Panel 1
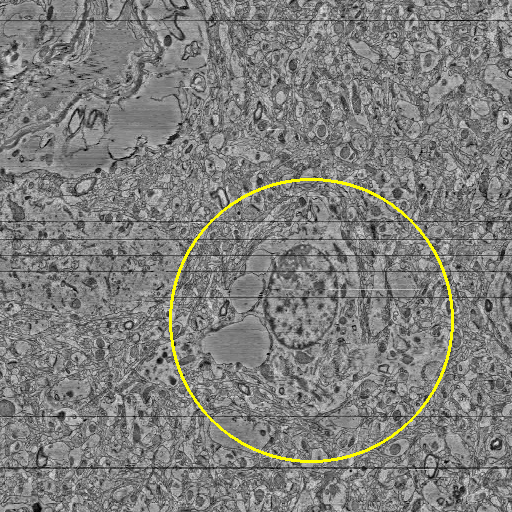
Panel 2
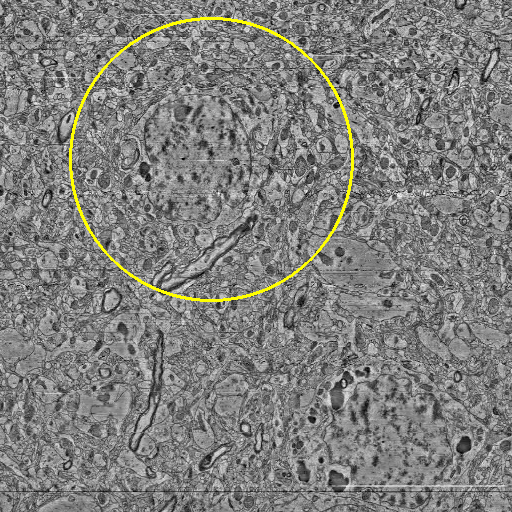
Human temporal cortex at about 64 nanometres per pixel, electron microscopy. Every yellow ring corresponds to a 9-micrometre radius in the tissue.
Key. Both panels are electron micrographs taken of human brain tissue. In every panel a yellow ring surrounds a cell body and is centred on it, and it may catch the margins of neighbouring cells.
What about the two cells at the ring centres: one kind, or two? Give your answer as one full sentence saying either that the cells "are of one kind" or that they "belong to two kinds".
Across Panels 1 and 2, the two cells at the ring centres belong to two kinds.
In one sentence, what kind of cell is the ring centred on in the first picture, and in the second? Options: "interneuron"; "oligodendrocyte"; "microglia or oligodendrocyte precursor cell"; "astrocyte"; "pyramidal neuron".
The cell at the centre of the second ring is an interneuron; the first ring's cell is an astrocyte.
